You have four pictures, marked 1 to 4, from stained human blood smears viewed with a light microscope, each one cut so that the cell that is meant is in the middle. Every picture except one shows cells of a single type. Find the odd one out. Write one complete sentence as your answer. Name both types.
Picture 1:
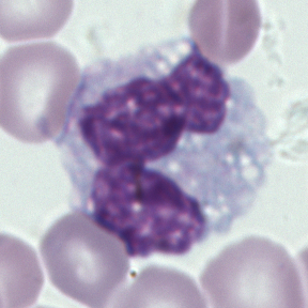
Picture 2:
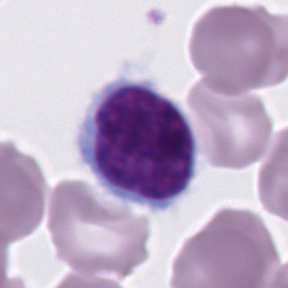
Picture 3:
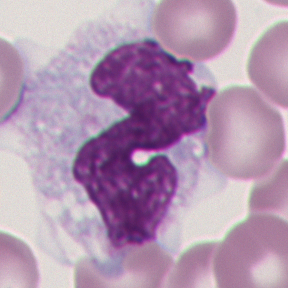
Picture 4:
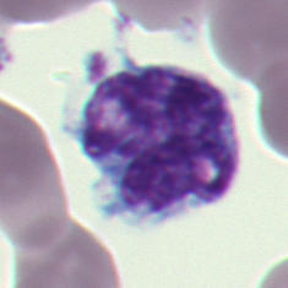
Picture 2 differs, because its cell is a hairy cell and the rest are monocytes.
